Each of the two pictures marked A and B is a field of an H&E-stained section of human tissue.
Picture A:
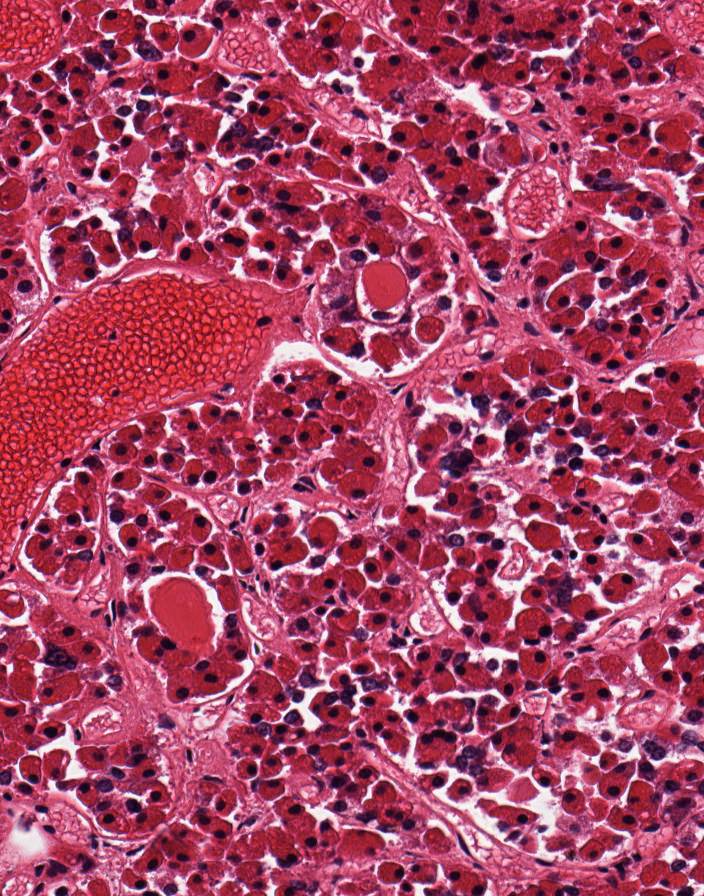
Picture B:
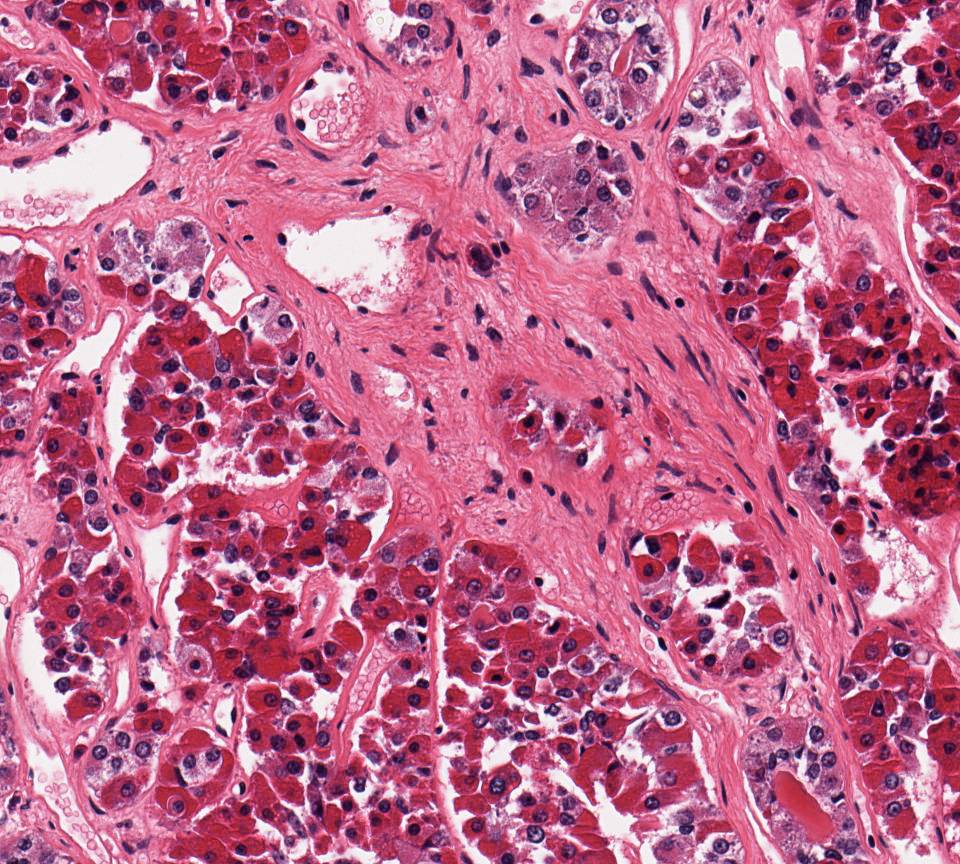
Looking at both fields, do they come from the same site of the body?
yes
